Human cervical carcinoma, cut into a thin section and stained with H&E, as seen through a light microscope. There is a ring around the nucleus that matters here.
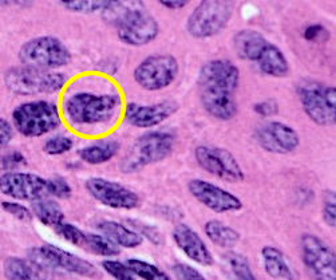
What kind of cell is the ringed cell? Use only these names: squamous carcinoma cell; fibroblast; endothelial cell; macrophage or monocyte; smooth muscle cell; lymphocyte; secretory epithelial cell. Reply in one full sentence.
The cell meant here is a squamous carcinoma cell.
